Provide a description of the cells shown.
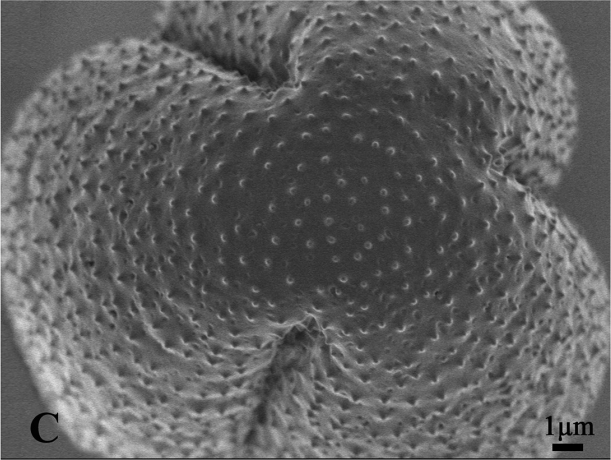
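This is a pollen grain seen end-on, so its outline looks rounded and lobed. Furrows cut in from the margin toward the center between the lobes. The surface carries many small point-like projections, crowded near the rim and sparser in the middle.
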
